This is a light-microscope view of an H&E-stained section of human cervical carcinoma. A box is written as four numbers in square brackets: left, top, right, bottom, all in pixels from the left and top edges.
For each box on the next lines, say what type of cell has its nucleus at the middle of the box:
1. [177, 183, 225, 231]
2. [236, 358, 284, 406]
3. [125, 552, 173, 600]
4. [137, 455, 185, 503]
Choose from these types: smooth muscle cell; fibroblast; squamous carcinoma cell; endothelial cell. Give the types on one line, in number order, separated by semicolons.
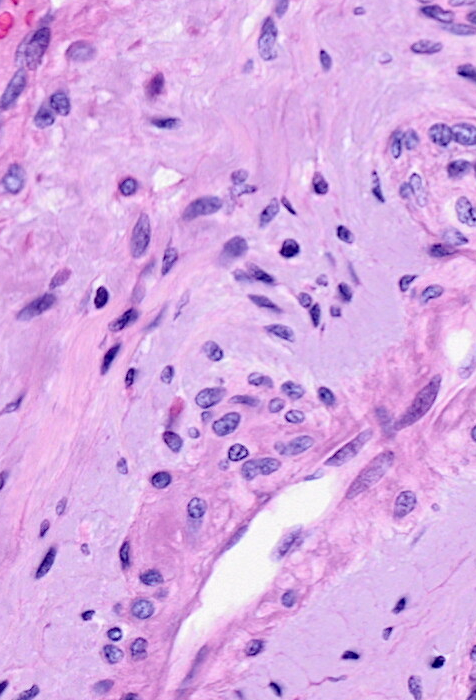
fibroblast; smooth muscle cell; smooth muscle cell; smooth muscle cell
